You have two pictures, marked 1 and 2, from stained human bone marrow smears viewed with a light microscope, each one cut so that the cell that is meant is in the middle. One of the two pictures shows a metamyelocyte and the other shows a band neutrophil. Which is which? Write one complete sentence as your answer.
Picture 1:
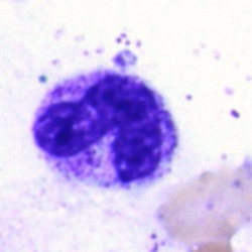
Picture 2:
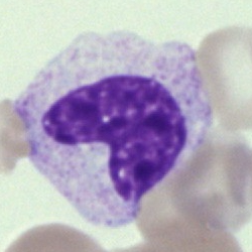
The cell in picture 1 is a band neutrophil, and the one in picture 2 is a metamyelocyte.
